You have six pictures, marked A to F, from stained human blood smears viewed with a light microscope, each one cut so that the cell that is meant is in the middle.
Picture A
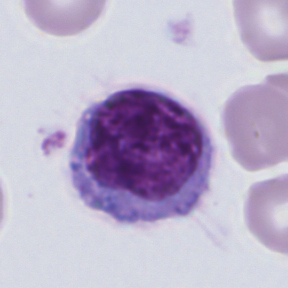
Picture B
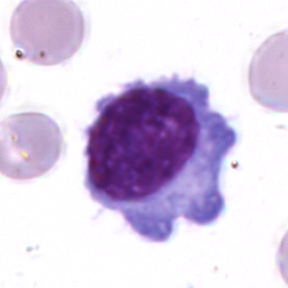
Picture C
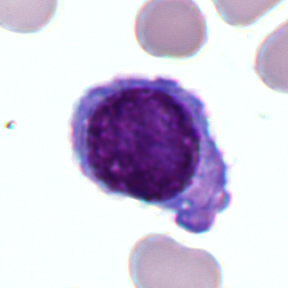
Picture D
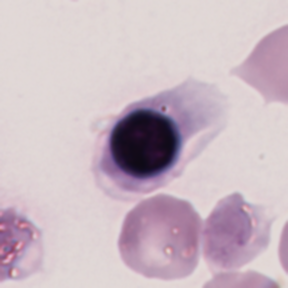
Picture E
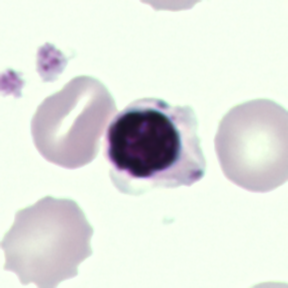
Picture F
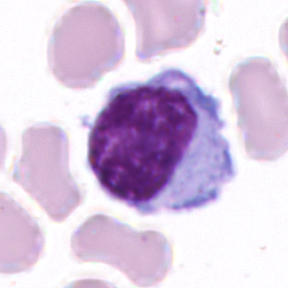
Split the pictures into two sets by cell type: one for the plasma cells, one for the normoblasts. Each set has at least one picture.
A: plasma cell
B: plasma cell
C: plasma cell
D: normoblast
E: normoblast
F: plasma cell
